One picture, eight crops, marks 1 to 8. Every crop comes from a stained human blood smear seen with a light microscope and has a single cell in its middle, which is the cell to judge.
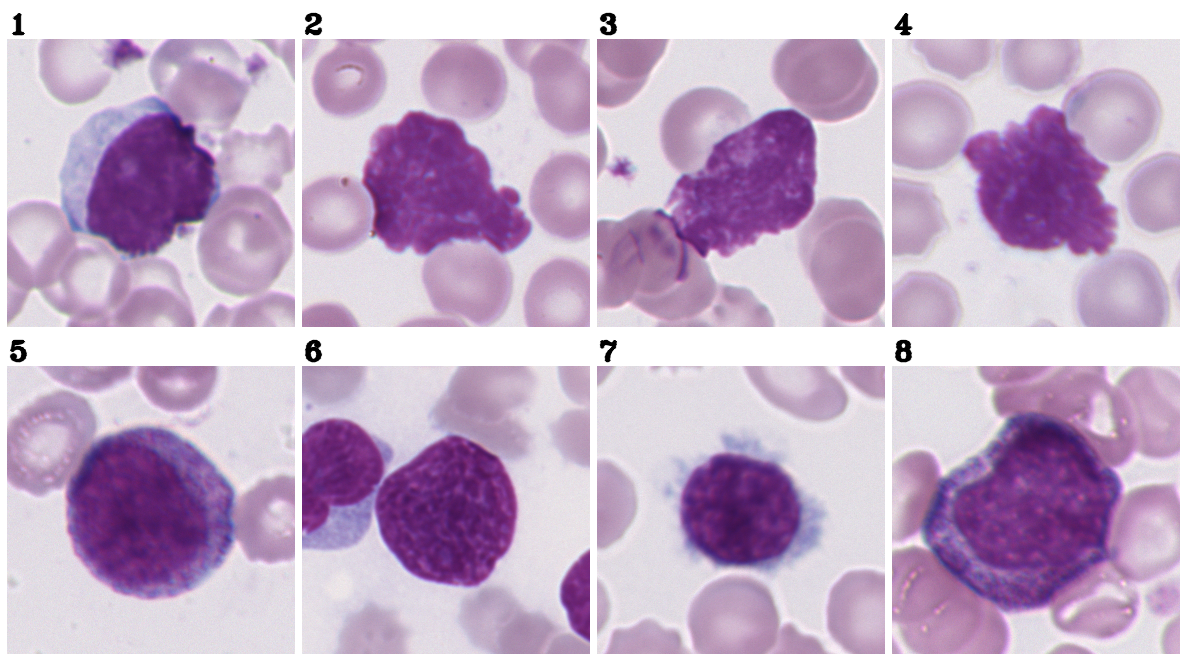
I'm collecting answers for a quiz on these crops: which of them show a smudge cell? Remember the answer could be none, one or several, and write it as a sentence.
Crops 2, 3 and 4 display smudge cells in the centre of the field.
